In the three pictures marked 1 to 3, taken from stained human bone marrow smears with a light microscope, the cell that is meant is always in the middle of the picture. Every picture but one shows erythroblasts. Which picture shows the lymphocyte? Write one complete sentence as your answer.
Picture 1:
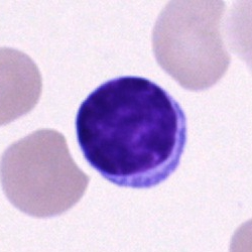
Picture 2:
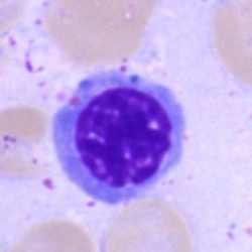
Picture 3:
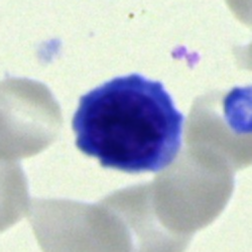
It is picture 1 that shows the lymphocyte.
